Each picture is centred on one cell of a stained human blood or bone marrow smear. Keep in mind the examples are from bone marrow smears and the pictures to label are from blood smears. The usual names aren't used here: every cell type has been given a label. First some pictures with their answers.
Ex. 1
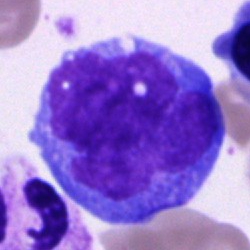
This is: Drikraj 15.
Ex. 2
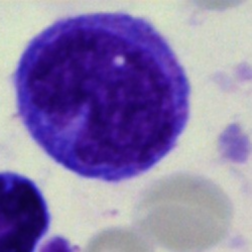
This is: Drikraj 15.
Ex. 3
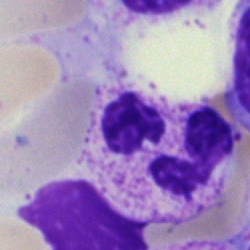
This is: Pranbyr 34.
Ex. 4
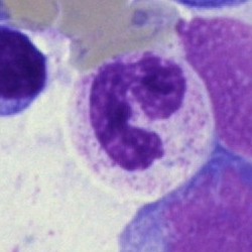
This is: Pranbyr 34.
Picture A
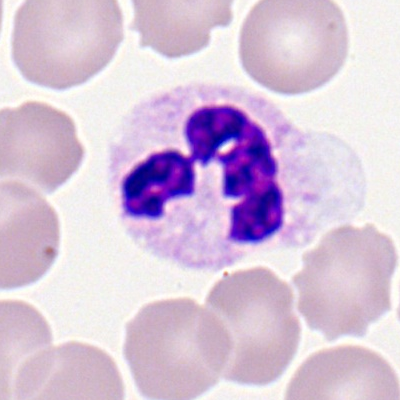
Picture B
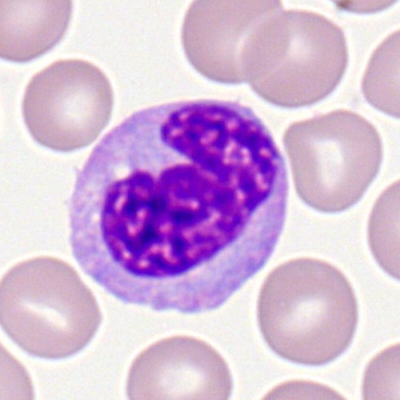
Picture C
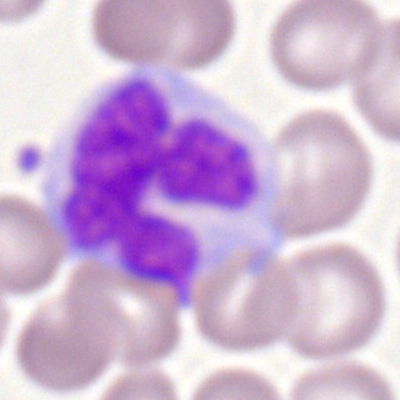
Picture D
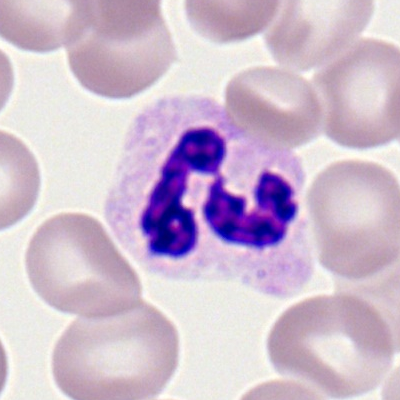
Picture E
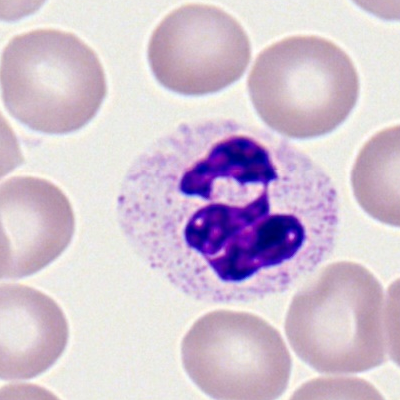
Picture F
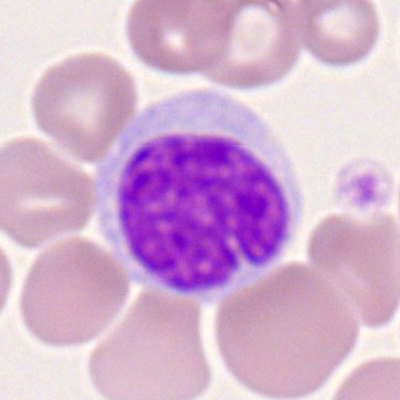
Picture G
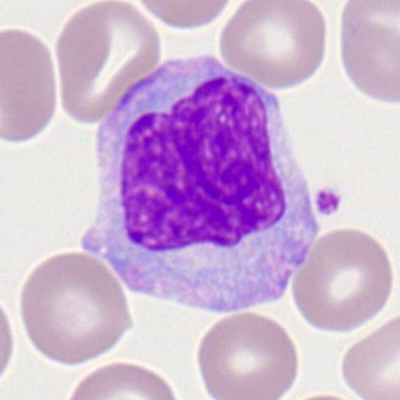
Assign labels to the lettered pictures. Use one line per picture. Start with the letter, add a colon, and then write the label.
A: Pranbyr 34.
B: Drikraj 15.
C: Drikraj 15.
D: Pranbyr 34.
E: Pranbyr 34.
F: Drikraj 15.
G: Drikraj 15.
